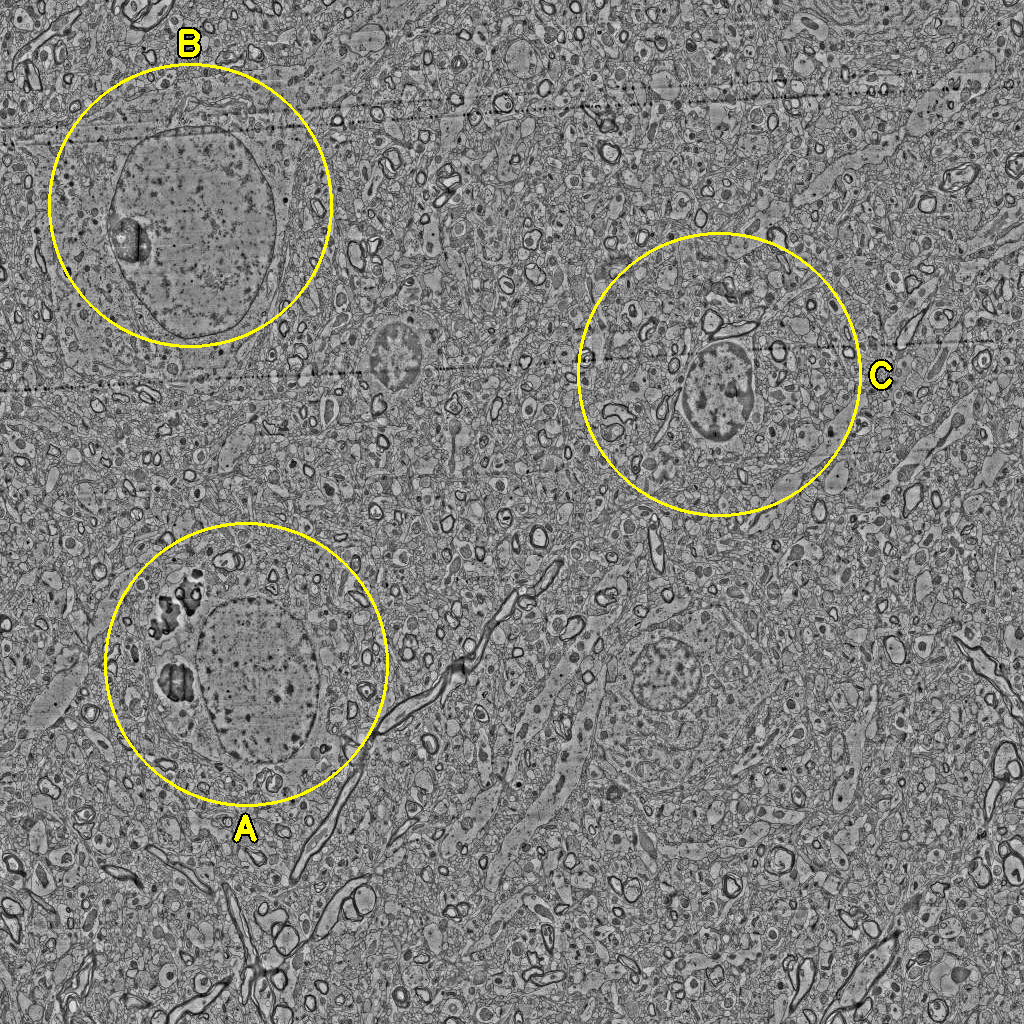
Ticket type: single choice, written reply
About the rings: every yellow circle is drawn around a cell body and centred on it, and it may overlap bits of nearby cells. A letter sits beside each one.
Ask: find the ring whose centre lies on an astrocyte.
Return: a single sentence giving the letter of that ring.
At the centre of the ring marked A lies the cell asked for.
